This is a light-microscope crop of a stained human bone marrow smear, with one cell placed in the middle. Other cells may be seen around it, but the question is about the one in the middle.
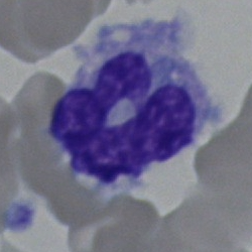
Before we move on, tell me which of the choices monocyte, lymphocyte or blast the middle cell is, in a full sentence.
The center cell of this crop is a monocyte.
